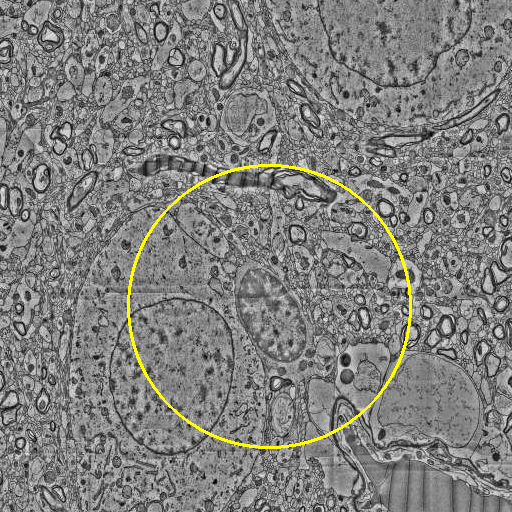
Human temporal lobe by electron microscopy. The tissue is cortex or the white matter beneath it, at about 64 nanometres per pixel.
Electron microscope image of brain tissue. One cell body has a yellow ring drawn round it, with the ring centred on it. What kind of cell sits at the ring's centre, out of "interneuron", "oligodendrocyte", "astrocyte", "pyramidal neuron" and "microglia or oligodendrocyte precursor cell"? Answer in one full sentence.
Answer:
It is an oligodendrocyte whose cell body sits at the centre of the yellow ring.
